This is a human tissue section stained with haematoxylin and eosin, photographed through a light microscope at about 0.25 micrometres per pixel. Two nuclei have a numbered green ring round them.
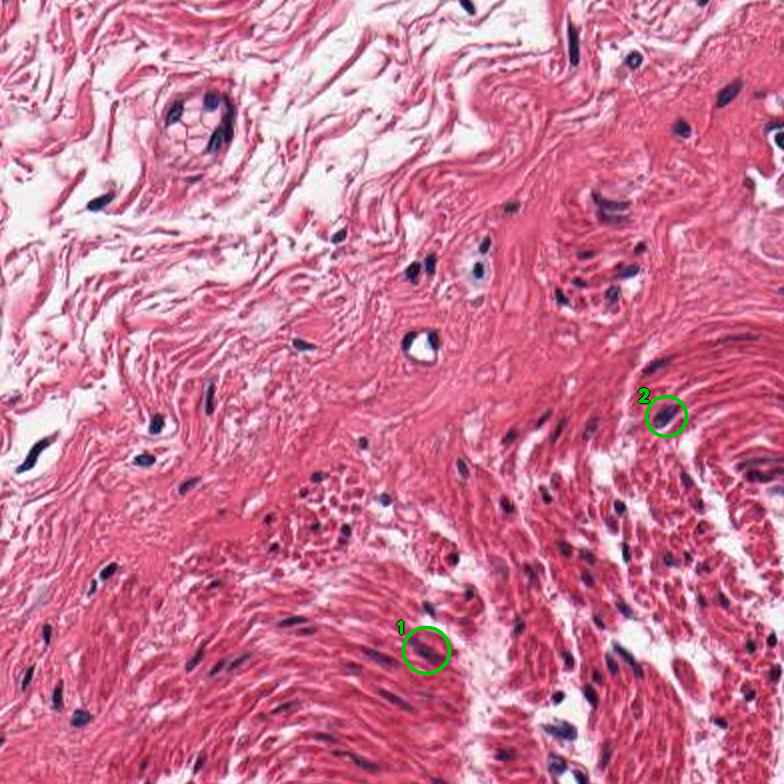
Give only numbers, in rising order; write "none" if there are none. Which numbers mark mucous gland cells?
none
